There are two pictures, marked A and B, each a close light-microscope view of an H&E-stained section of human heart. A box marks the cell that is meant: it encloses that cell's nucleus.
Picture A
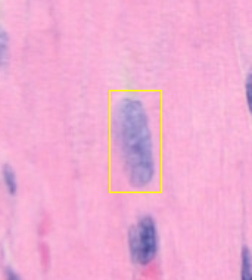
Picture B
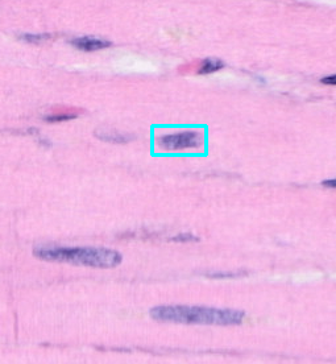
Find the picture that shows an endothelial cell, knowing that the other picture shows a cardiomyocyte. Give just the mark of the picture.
B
